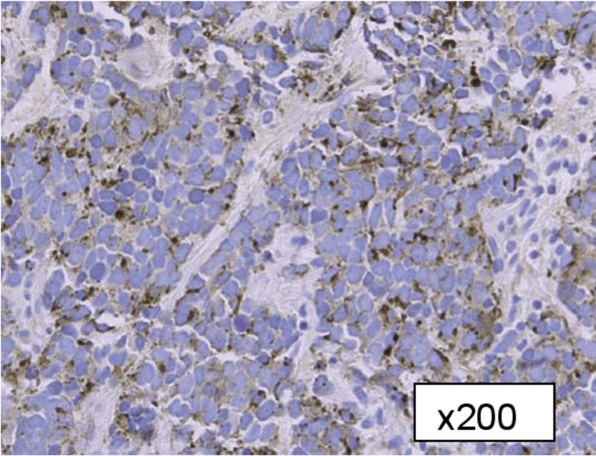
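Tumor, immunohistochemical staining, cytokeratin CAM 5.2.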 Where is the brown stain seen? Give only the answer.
Patchy perinuclear.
